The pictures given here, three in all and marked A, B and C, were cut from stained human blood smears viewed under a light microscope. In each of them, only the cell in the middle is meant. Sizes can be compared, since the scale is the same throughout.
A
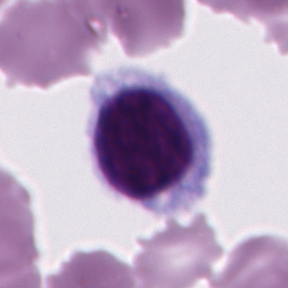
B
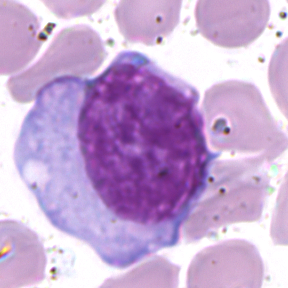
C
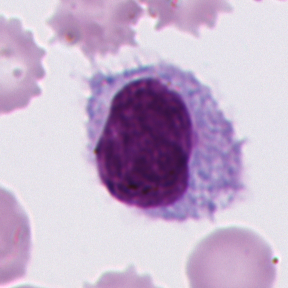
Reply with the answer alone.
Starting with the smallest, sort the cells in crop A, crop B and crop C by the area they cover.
A, C, B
